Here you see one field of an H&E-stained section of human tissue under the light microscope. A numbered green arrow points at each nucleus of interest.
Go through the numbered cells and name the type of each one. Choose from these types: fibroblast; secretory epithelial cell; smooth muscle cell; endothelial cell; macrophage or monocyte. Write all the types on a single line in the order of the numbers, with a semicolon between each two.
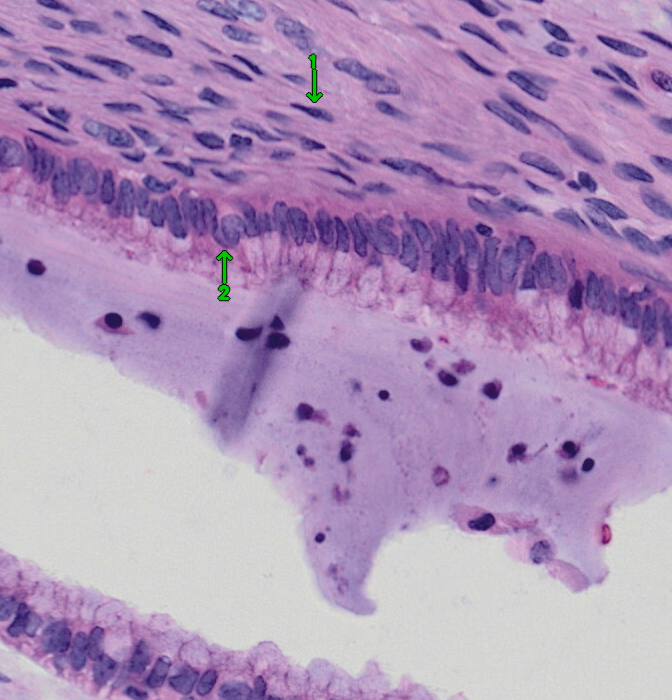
fibroblast; secretory epithelial cell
